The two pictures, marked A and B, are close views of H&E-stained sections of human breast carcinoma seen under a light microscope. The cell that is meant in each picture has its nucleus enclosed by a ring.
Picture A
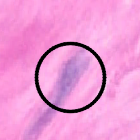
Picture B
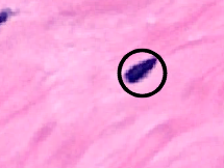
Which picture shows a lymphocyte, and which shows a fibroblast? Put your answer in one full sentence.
It is picture A that shows a fibroblast, and picture B that shows a lymphocyte.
